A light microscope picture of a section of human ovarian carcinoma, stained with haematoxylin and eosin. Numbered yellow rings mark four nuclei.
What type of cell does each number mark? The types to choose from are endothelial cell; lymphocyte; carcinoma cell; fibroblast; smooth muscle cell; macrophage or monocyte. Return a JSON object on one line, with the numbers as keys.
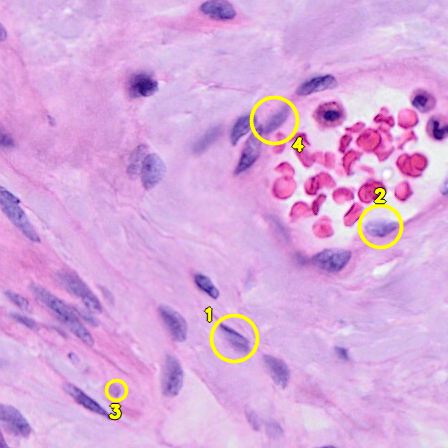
{"1": "fibroblast", "2": "endothelial cell", "3": "smooth muscle cell", "4": "endothelial cell"}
